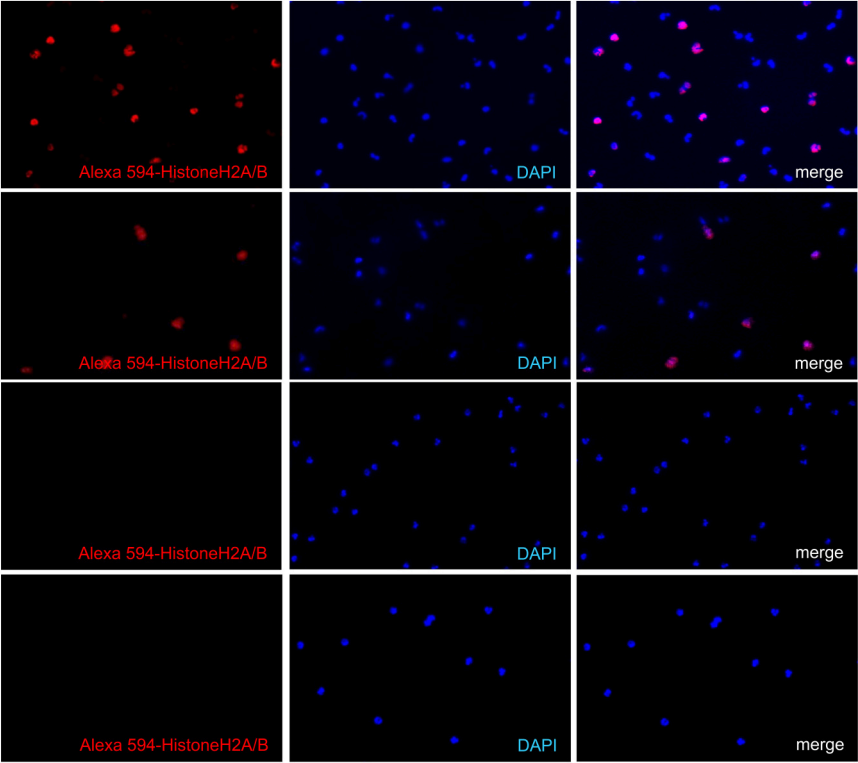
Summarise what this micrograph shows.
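The cells lie scattered singly on the slide, and each shows a small, compact or slightly irregular blue nucleus with no visible cytoplasm. In the upper two rows a subset of cells carries a bright red, cloud-like chromatin label that overlaps the nucleus and appears pink-magenta in the merged images. In the lower two rows the red channel is essentially dark, and only the small blue nuclei are seen.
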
